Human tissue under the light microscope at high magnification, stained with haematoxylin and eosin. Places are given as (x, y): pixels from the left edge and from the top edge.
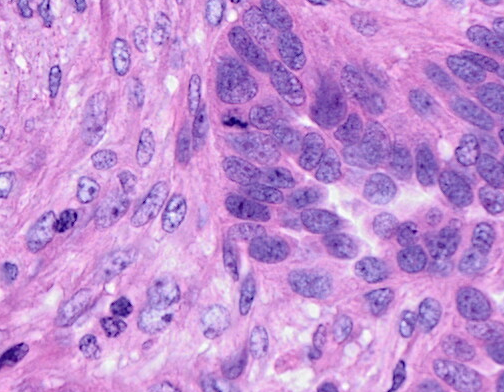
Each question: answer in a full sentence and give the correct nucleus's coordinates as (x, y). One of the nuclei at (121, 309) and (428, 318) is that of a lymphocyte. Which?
Of the two nuclei present, the one at (121, 309) is within a lymphocyte.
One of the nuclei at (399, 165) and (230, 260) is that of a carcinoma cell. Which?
The nucleus positioned at (399, 165) forms part of a carcinoma cell.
